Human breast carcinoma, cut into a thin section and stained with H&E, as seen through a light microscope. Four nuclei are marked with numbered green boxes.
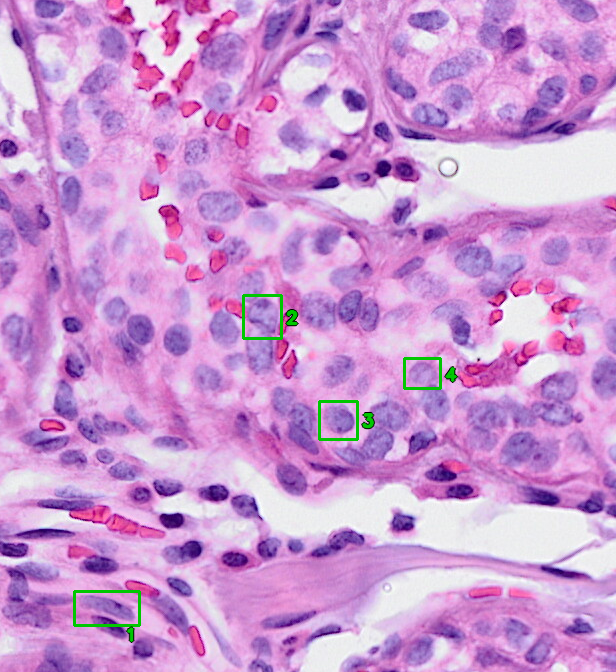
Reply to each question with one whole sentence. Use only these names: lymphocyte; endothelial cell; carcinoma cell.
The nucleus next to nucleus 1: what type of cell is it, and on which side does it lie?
The nearest nucleus is that of an endothelial cell and lies below nucleus 1.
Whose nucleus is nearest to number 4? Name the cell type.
The cell nearest to number 4 is a carcinoma cell.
